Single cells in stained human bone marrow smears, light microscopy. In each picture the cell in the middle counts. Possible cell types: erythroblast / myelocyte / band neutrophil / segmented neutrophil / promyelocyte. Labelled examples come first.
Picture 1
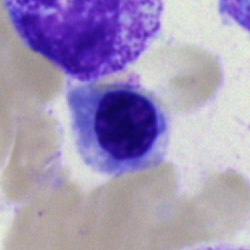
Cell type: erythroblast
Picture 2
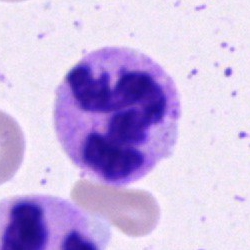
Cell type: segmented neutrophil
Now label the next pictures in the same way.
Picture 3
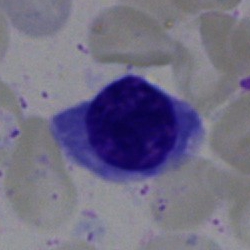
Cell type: erythroblast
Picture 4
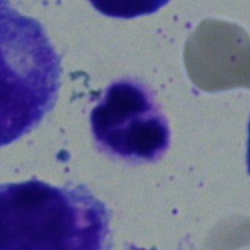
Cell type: segmented neutrophil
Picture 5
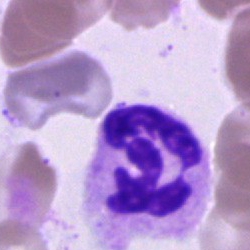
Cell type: segmented neutrophil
